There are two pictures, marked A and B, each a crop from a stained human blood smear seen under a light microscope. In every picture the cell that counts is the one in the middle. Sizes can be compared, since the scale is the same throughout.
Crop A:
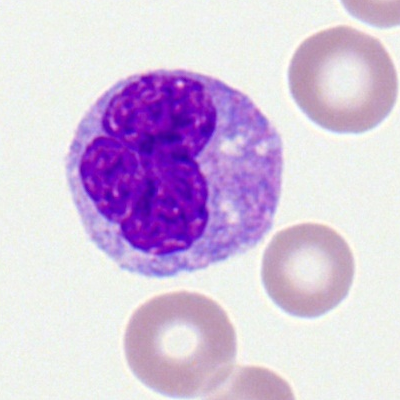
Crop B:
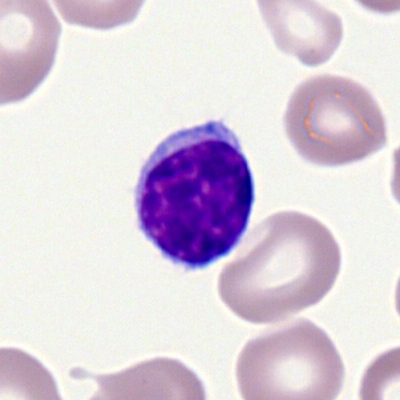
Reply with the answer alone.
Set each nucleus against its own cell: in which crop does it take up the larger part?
B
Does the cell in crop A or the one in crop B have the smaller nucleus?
B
